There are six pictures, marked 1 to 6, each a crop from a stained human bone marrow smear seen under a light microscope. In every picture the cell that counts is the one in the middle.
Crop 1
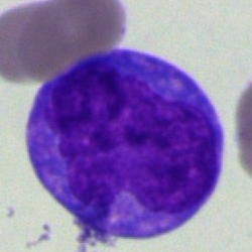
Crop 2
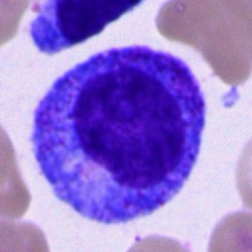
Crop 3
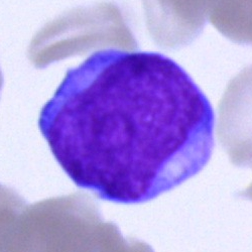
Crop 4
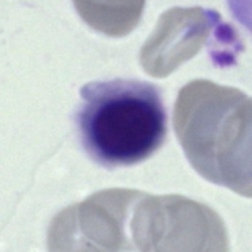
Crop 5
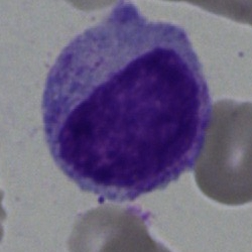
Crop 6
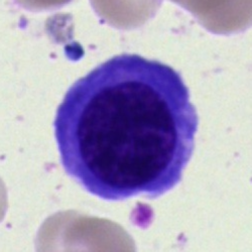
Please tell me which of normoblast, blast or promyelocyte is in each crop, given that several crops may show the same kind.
1: blast
2: promyelocyte
3: blast
4: normoblast
5: promyelocyte
6: normoblast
